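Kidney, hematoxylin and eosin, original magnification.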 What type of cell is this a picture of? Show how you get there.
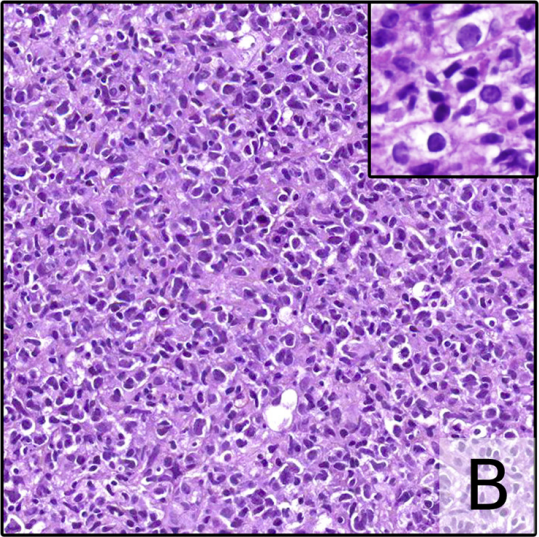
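Many cells have large, round to irregular nuclei. Smaller dark nuclei lie among them.
Cells with enlarged atypical nuclei.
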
